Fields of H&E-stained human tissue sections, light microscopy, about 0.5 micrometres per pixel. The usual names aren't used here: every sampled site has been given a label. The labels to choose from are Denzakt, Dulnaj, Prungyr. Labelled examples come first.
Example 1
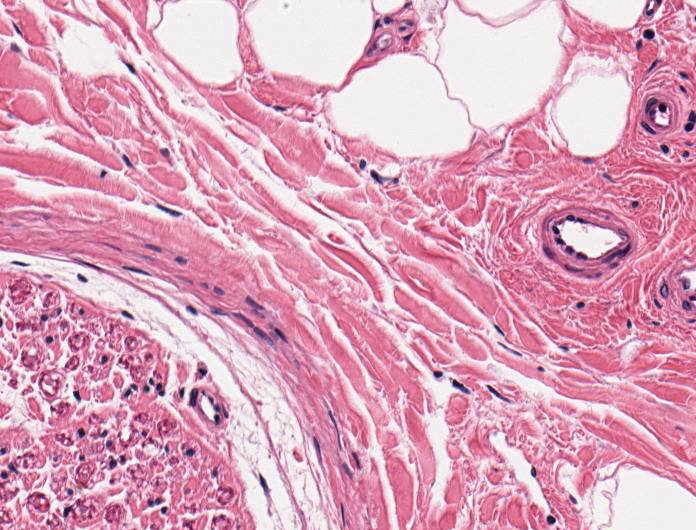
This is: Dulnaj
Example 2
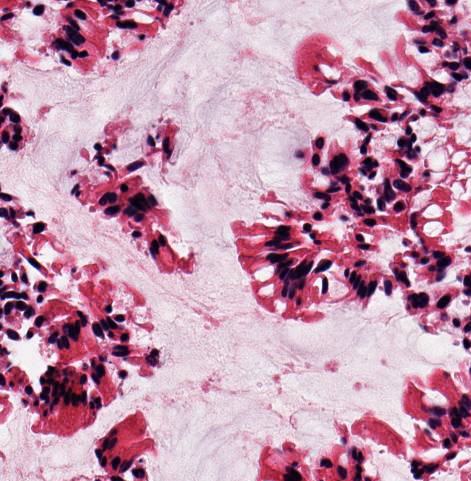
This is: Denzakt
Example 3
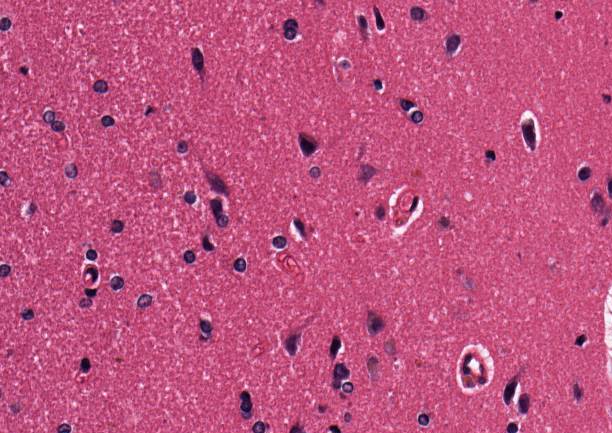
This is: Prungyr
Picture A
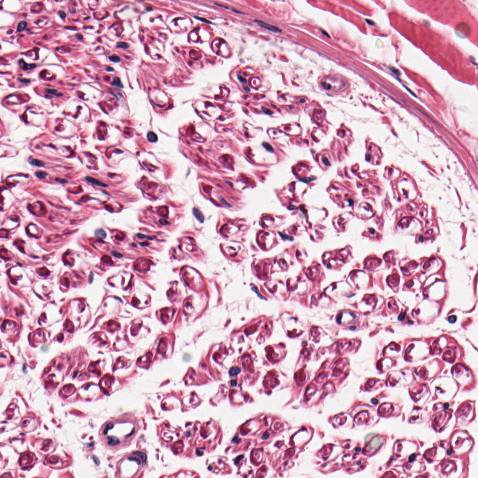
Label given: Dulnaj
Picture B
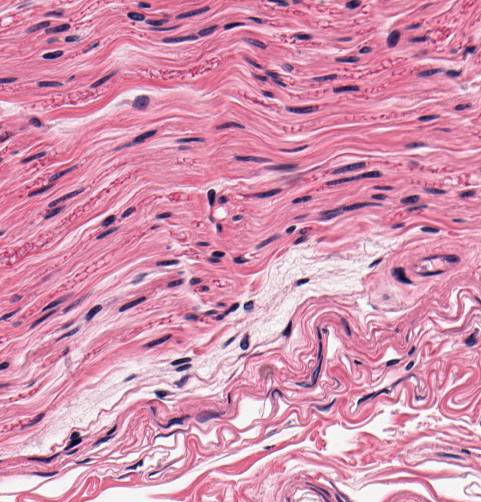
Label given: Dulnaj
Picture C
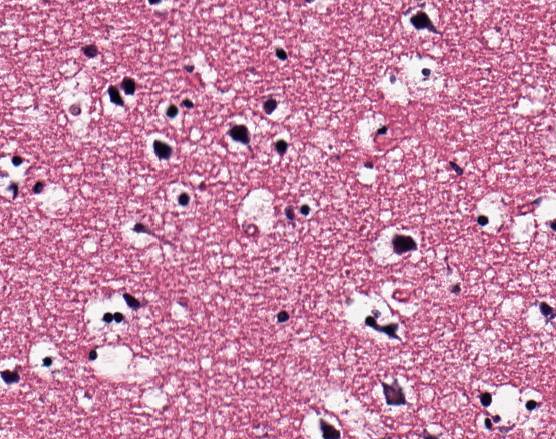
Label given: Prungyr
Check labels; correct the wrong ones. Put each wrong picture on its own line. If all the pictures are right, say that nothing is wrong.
Every label is right.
